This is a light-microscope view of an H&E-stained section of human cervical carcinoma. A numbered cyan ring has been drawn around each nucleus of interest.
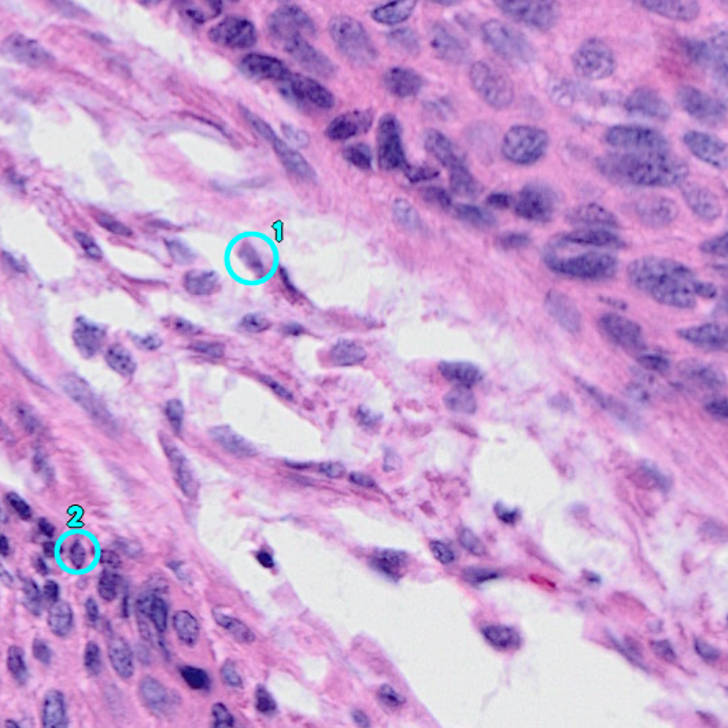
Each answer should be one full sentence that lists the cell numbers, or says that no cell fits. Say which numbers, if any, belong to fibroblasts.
Cell 1 is a fibroblast, while all remaining marked cells are of other types.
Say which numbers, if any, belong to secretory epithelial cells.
Answering directly: no secretory epithelial cells are among the numbered cells.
